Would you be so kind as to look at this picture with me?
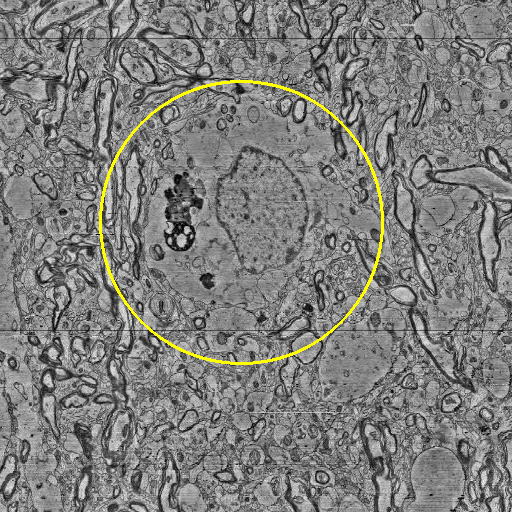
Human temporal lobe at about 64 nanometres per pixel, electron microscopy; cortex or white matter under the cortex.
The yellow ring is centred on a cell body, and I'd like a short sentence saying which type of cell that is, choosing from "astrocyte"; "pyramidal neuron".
The cell body in the ring belongs to an astrocyte.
